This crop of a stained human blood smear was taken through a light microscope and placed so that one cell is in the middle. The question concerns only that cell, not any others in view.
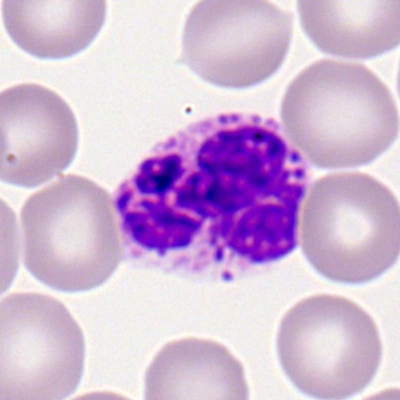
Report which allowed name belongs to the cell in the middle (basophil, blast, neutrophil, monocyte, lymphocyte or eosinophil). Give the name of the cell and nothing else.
basophil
